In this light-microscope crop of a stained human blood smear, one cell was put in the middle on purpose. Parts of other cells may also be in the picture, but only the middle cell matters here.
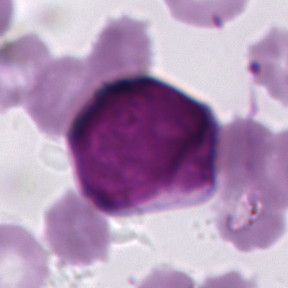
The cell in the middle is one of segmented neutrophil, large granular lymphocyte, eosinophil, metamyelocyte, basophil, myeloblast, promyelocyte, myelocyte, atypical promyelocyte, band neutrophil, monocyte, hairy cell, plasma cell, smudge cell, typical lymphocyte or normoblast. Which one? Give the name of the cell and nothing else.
myeloblast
